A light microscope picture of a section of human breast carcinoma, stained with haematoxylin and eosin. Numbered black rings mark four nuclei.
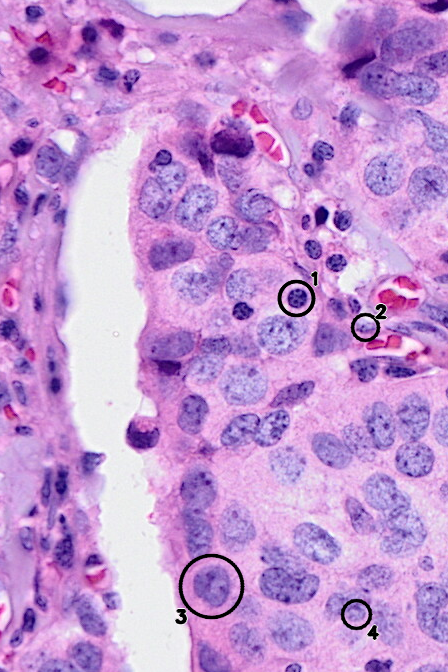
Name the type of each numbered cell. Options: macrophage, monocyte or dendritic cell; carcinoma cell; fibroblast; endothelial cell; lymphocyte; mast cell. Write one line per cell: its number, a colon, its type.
1: lymphocyte
2: endothelial cell
3: carcinoma cell
4: carcinoma cell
